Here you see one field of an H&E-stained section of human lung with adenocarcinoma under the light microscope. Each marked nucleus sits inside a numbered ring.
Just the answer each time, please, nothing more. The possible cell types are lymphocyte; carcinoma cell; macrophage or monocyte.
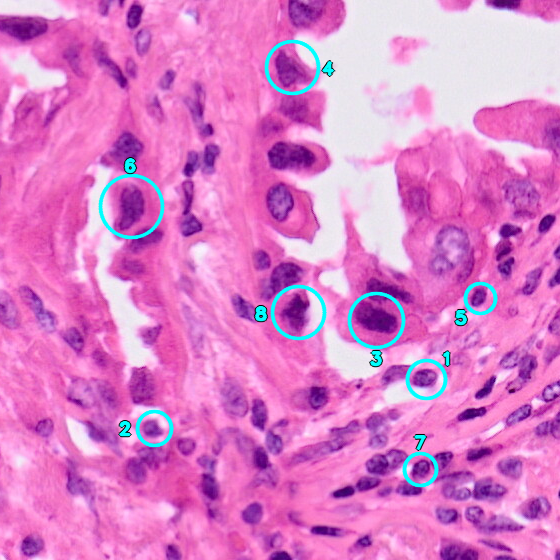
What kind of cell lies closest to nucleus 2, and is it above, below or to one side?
a macrophage or monocyte; below nucleus 2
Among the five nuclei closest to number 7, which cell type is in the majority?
lymphocyte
